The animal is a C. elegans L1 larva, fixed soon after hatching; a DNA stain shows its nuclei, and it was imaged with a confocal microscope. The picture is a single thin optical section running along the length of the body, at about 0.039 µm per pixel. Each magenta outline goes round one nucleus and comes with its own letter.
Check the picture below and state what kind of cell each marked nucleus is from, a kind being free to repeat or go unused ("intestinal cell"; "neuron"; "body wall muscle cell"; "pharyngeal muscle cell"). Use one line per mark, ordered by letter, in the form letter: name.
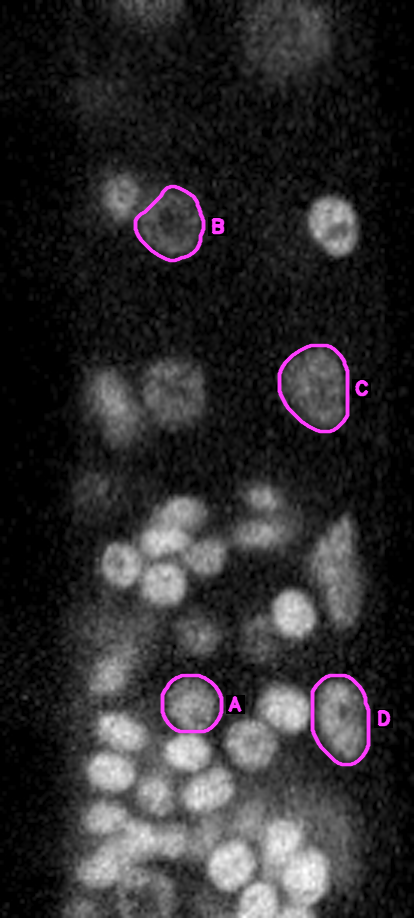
A: pharyngeal muscle cell
B: intestinal cell
C: intestinal cell
D: body wall muscle cell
